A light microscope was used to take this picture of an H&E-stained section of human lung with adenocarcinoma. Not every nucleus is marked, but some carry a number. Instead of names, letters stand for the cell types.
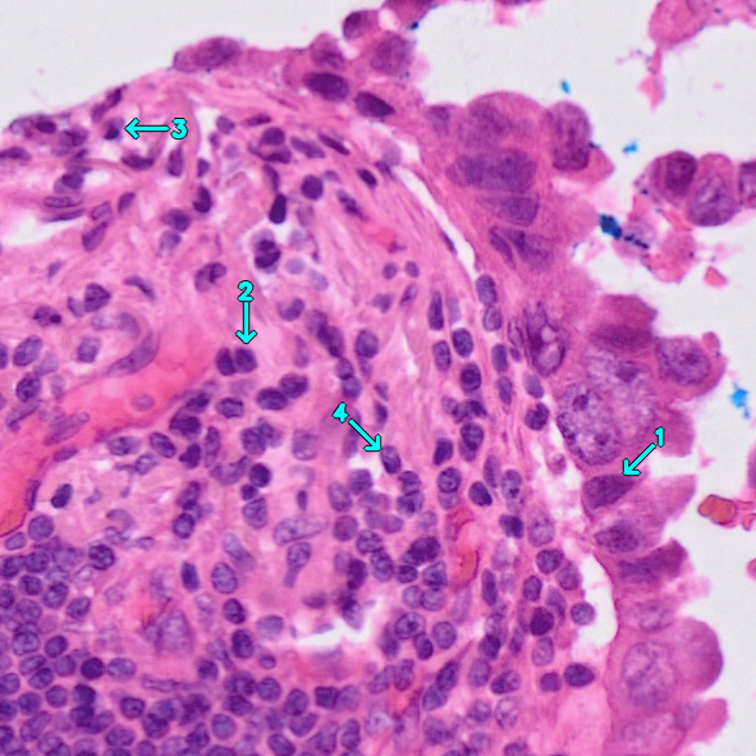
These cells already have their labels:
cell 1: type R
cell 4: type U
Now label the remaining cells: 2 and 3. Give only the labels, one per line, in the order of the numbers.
type U
type U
